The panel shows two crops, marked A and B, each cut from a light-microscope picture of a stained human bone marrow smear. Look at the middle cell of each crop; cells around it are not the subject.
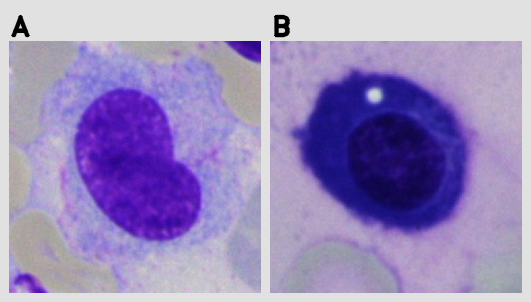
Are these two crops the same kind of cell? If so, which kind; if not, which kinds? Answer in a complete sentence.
No, crop A shows a hairy cell, and crop B, by contrast, shows a plasma cell.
